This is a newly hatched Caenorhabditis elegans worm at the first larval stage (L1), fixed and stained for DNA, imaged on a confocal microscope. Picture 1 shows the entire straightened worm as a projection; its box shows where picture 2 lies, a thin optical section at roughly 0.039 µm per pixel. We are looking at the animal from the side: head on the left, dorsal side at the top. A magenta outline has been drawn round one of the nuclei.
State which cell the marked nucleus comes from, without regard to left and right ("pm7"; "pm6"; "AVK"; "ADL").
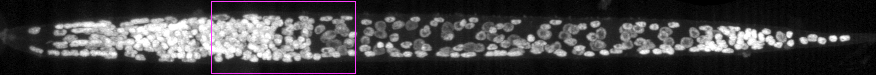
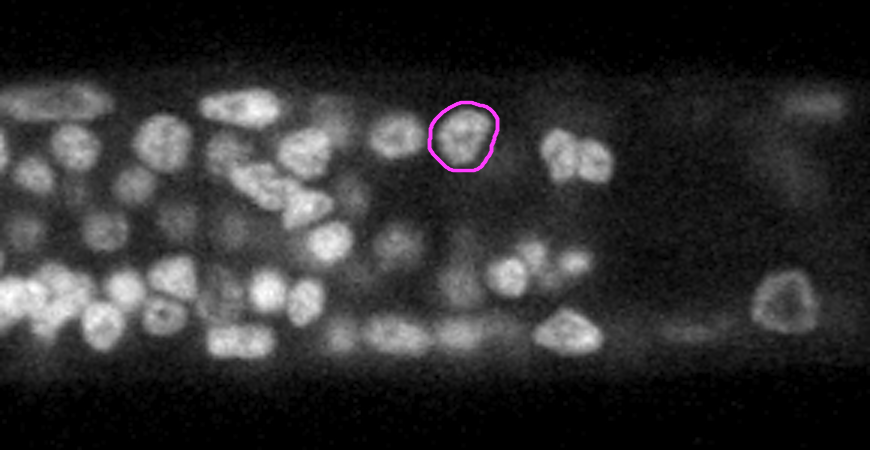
pm7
